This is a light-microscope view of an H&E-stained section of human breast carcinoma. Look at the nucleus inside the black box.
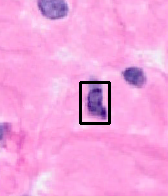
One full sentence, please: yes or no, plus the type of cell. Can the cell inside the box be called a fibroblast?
No, the cell inside the box is simply a lymphocyte rather than a fibroblast.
